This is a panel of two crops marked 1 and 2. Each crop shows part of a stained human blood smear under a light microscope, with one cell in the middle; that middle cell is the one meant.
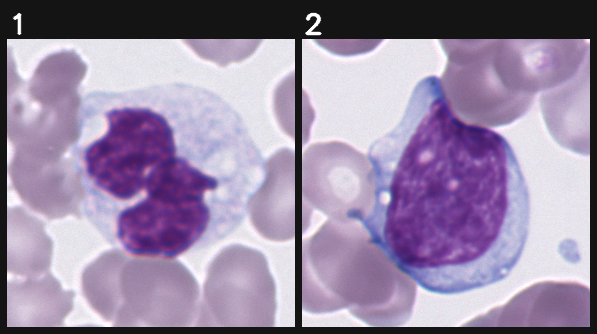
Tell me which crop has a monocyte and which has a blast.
1: monocyte
2: blast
